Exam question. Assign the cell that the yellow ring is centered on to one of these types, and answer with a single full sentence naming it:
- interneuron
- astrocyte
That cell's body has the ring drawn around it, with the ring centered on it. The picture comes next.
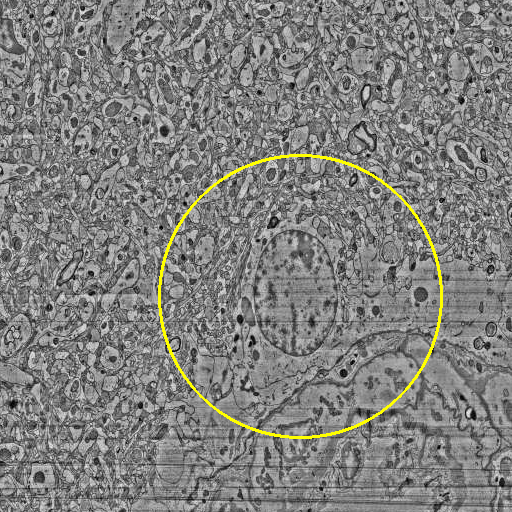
In the micrograph, the cell the yellow ring is centered on is an astrocyte.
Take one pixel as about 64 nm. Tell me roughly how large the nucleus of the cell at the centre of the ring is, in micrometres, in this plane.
About 8 by 5 micrometers for the nucleus, in this plane.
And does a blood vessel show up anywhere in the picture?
Yes, the image shows a blood vessel.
